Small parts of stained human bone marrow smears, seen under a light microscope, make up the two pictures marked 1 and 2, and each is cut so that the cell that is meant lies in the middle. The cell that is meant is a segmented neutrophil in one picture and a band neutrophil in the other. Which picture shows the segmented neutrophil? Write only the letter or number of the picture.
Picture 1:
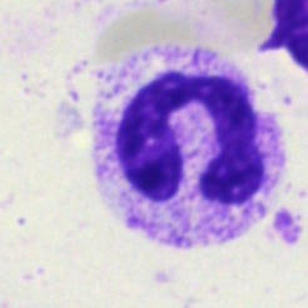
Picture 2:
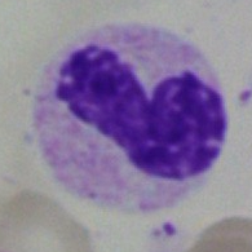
1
